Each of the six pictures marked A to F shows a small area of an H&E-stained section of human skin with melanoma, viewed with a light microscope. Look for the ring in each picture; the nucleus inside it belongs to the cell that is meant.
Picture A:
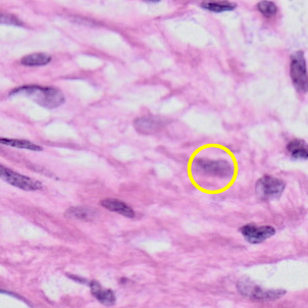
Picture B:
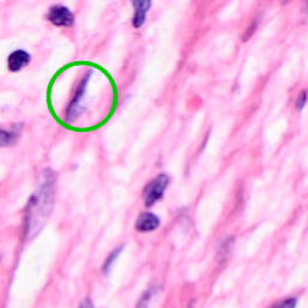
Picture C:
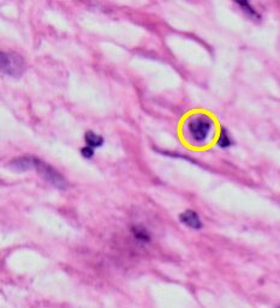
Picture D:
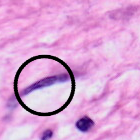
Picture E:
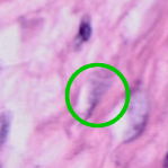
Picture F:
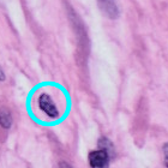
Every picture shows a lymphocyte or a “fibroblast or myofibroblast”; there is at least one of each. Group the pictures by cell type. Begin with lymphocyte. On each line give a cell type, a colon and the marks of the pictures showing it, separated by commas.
lymphocyte: C, F
fibroblast or myofibroblast: A, B, D, E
